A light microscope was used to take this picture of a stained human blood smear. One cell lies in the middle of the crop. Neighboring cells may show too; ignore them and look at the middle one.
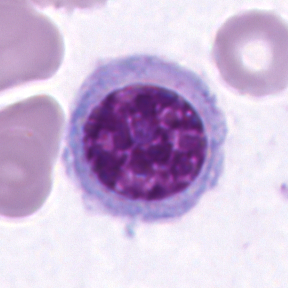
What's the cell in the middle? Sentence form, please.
The cell at the centre of the field is a plasma cell.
